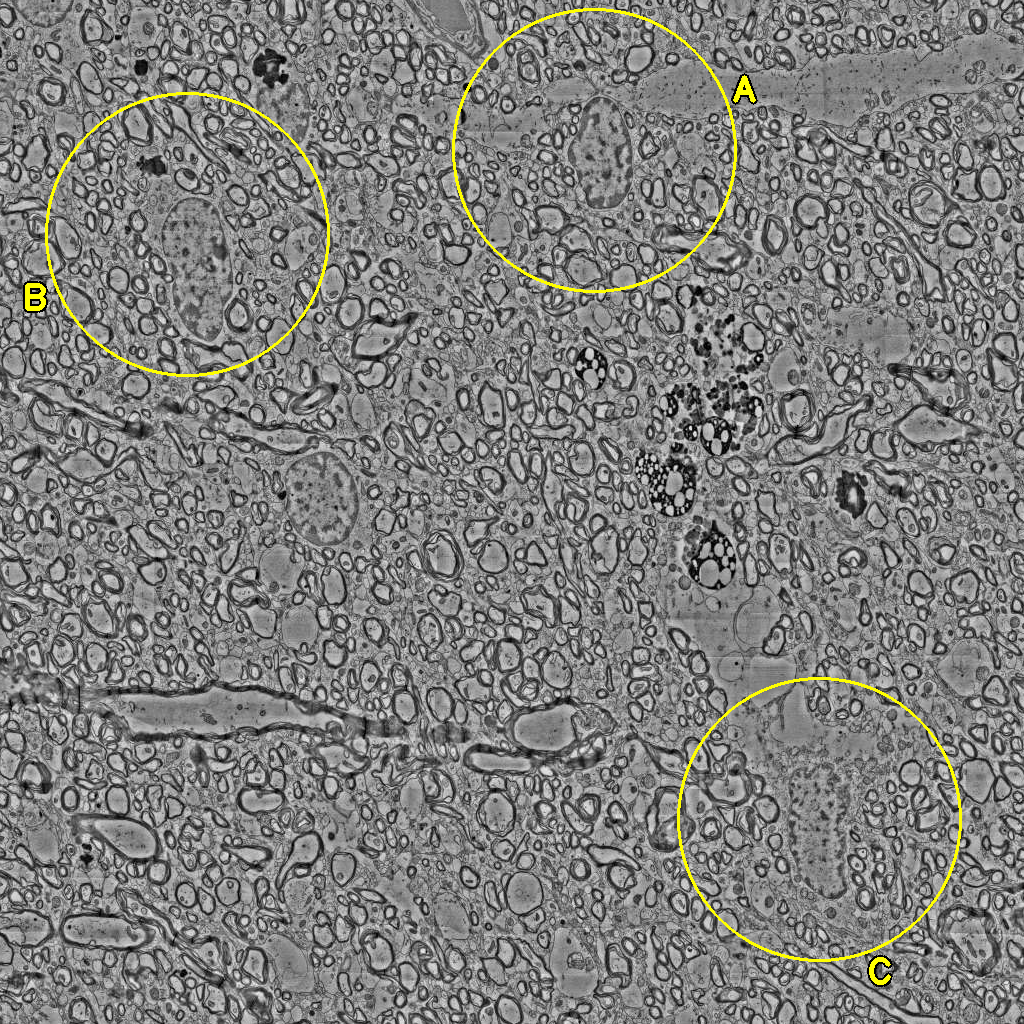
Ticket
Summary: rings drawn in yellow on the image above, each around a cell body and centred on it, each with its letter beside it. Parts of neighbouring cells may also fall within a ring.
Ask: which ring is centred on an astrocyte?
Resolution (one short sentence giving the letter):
The ring marked C is centred on it.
